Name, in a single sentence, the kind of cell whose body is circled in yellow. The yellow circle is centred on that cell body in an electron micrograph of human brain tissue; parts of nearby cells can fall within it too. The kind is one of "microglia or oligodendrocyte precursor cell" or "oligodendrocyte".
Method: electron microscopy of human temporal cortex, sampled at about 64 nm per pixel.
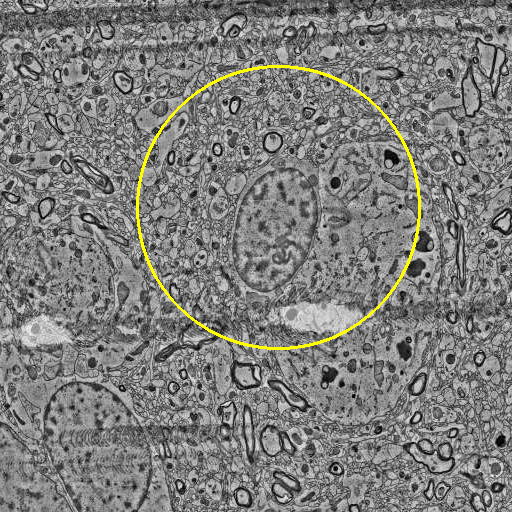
The circled cell body belongs to an oligodendrocyte.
